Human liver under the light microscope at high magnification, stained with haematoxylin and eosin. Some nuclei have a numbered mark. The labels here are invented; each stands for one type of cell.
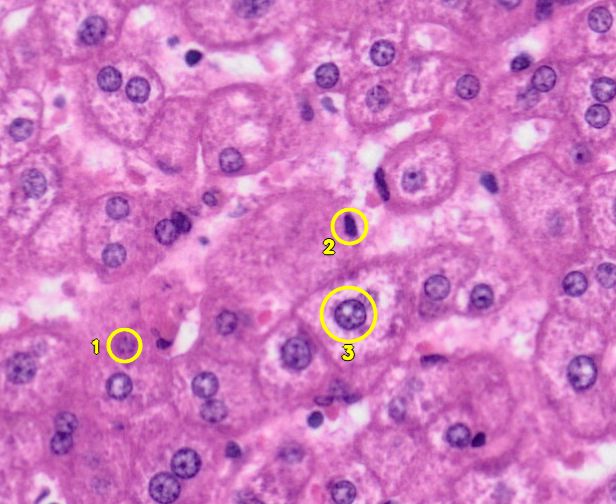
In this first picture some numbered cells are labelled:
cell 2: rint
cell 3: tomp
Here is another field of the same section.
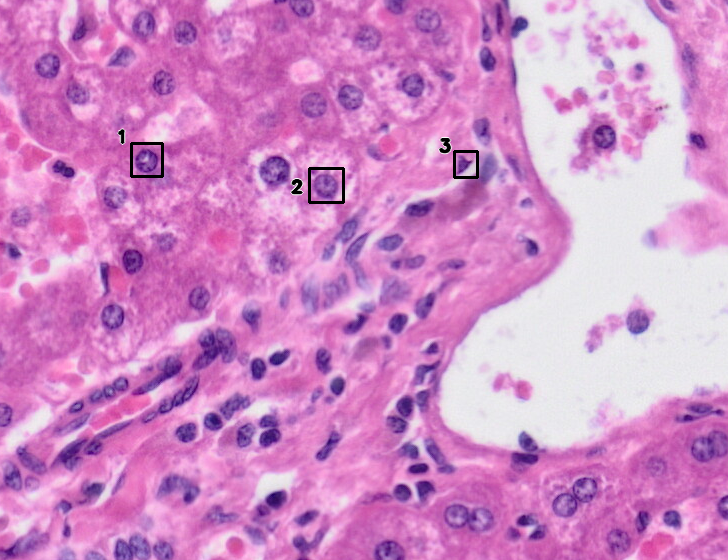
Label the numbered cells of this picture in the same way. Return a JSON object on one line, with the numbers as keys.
{"1": "tomp", "2": "tomp", "3": "rint"}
